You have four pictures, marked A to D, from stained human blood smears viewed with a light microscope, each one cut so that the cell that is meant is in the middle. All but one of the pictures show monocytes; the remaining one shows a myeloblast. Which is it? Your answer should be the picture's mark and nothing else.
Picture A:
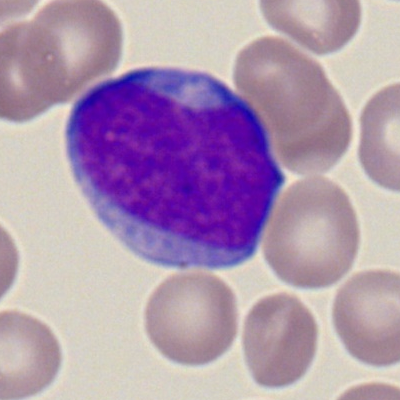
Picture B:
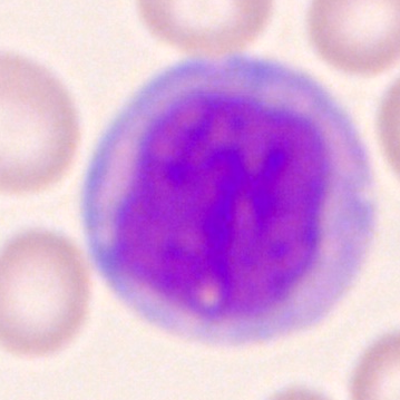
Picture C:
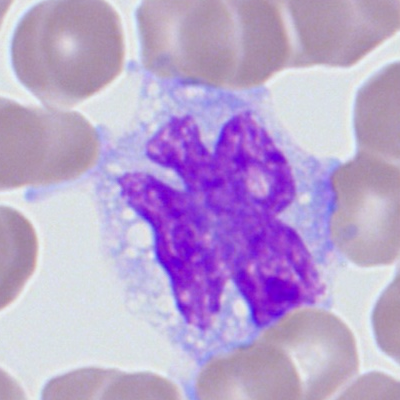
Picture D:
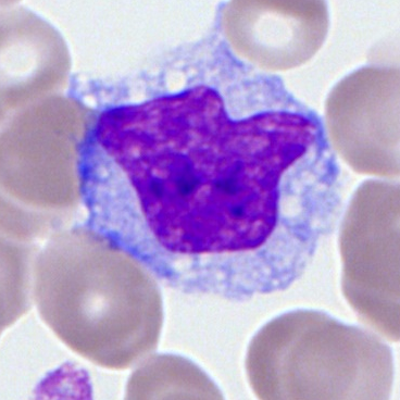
A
